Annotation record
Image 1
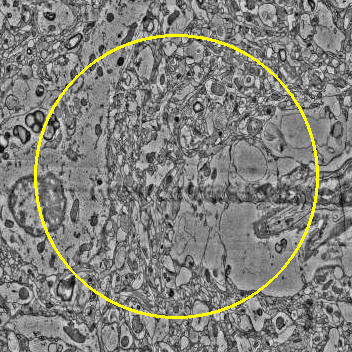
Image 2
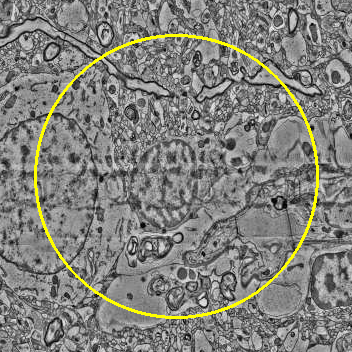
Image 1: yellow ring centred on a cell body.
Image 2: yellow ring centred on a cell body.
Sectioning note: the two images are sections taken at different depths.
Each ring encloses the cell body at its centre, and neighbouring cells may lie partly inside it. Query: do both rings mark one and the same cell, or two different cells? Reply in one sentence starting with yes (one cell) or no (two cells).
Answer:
Yes, the two yellow circles hold the same cell.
